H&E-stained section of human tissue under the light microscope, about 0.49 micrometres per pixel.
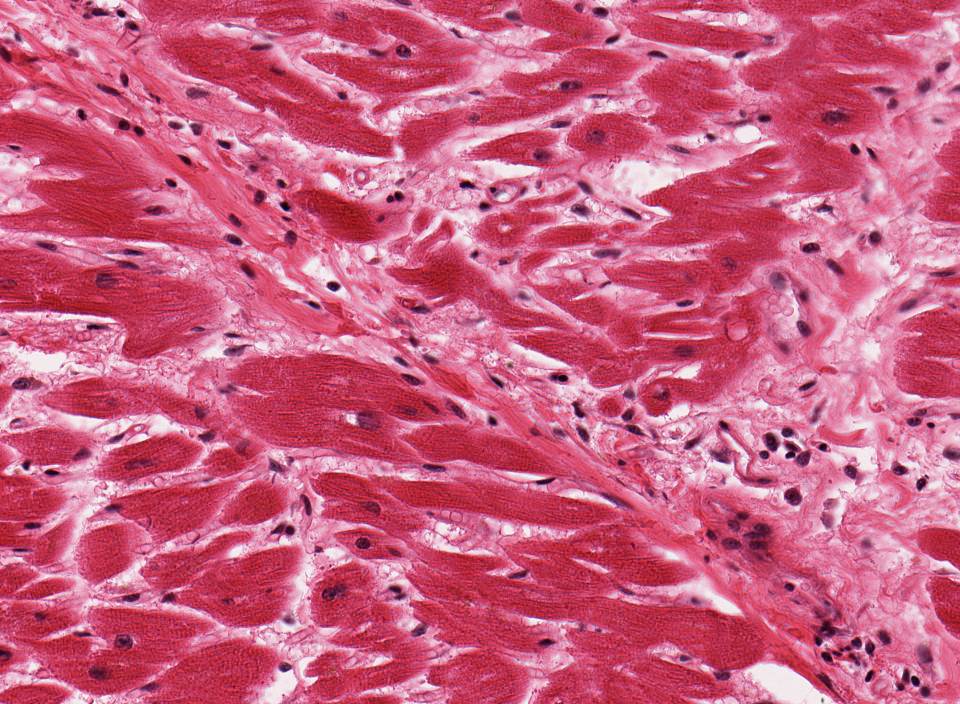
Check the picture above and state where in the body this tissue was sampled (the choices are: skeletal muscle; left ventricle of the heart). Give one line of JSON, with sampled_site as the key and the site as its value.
{"sampled_site": "left ventricle of the heart"}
